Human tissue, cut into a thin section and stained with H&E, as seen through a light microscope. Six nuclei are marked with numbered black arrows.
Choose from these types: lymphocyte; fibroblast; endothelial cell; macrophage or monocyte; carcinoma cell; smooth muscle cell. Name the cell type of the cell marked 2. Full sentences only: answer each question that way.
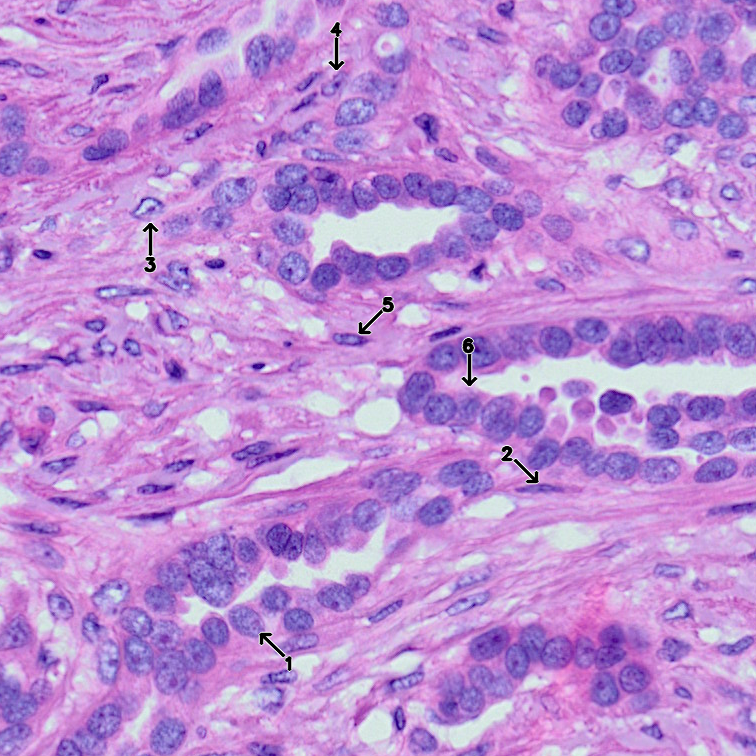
The marked nucleus 2 is that of a fibroblast.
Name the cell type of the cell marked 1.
The cell tagged with 1 in this tissue section is a carcinoma cell.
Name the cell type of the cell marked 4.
The cell assigned the number 4 is a fibroblast.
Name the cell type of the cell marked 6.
The nucleus labelled 6 belongs to a carcinoma cell.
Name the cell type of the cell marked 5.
Heads up, the cell numbered 5 is a fibroblast.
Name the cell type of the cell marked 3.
Recognised here as a fibroblast is the cell numbered 3.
